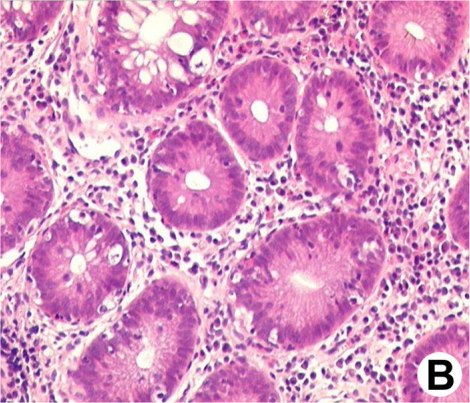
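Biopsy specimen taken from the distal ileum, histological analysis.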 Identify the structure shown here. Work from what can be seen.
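Crypts. Round glandular profiles cut in cross section, each with a central lumen. Each profile lined by a single layer of tall columnar epithelial cells. Profiles separated by cellular connective tissue.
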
